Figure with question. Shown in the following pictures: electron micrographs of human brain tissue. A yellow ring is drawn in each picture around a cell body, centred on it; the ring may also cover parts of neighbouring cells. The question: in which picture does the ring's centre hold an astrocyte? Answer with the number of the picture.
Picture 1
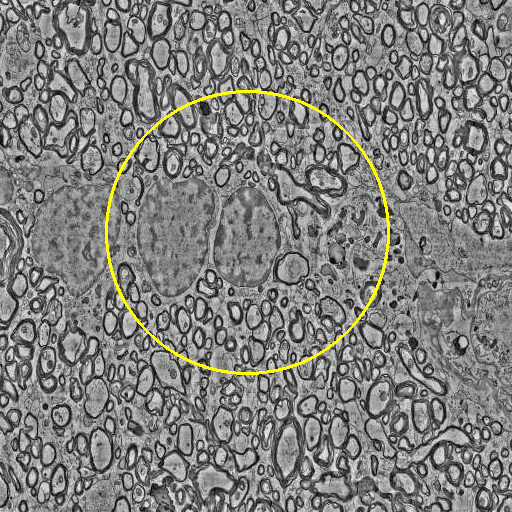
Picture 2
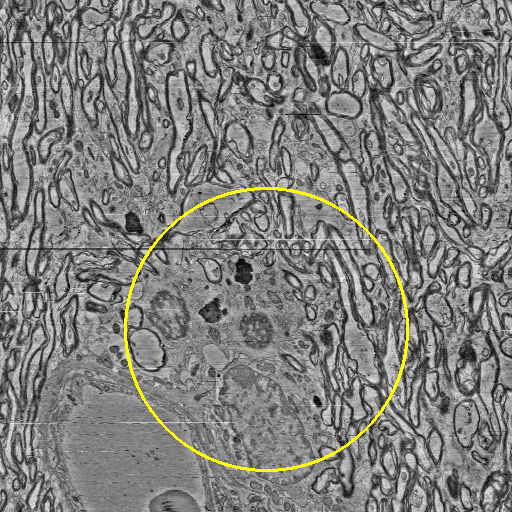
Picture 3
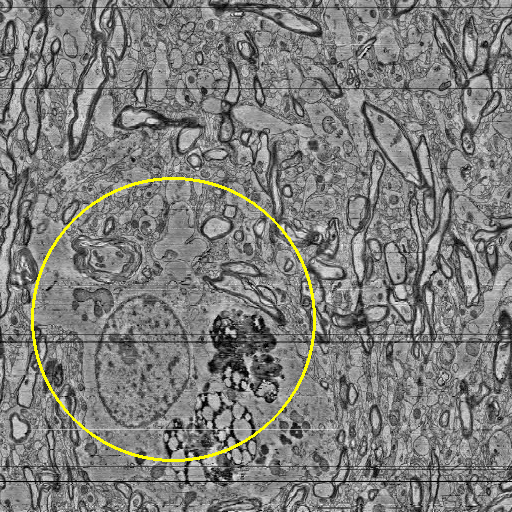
3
